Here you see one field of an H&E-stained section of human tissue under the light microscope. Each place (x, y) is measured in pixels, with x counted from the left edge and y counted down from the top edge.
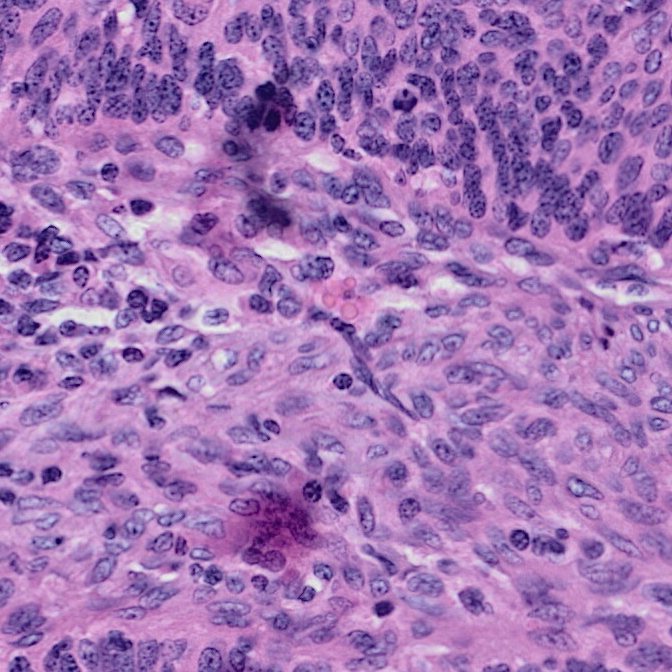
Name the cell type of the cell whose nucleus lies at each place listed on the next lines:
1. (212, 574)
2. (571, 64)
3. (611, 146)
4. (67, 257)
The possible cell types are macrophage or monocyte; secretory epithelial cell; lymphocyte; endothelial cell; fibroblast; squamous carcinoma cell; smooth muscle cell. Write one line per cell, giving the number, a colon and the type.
1: lymphocyte
2: squamous carcinoma cell
3: squamous carcinoma cell
4: lymphocyte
